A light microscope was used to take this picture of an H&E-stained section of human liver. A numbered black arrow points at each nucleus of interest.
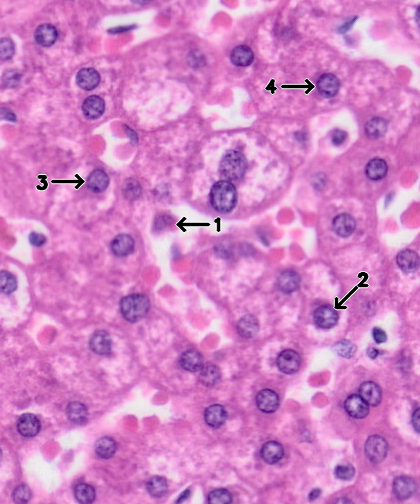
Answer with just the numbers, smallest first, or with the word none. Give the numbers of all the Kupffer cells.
1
